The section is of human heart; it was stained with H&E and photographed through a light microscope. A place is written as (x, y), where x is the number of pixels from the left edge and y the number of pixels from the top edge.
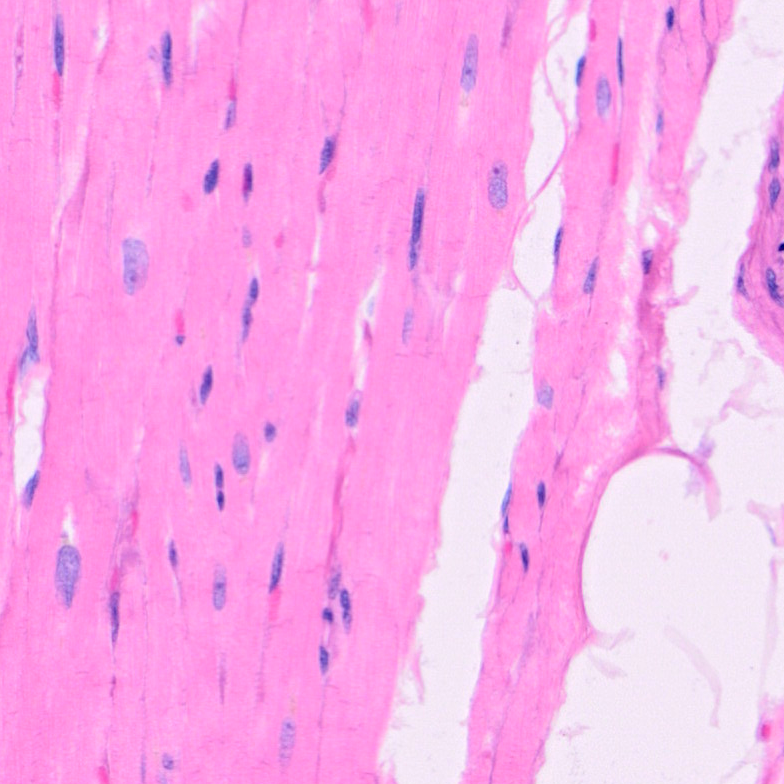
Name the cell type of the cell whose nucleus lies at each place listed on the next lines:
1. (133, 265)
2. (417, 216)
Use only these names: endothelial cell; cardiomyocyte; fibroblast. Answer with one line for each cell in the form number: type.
1: cardiomyocyte
2: endothelial cell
